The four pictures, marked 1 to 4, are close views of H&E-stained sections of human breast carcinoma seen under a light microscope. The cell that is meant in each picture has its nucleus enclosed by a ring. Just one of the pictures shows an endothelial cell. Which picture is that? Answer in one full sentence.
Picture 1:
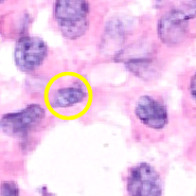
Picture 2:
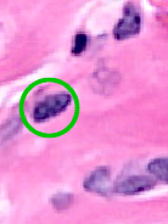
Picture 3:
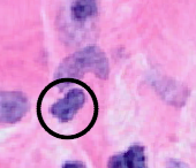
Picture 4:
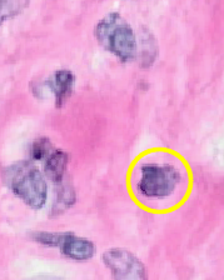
Picture 1 is the one that shows the endothelial cell.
